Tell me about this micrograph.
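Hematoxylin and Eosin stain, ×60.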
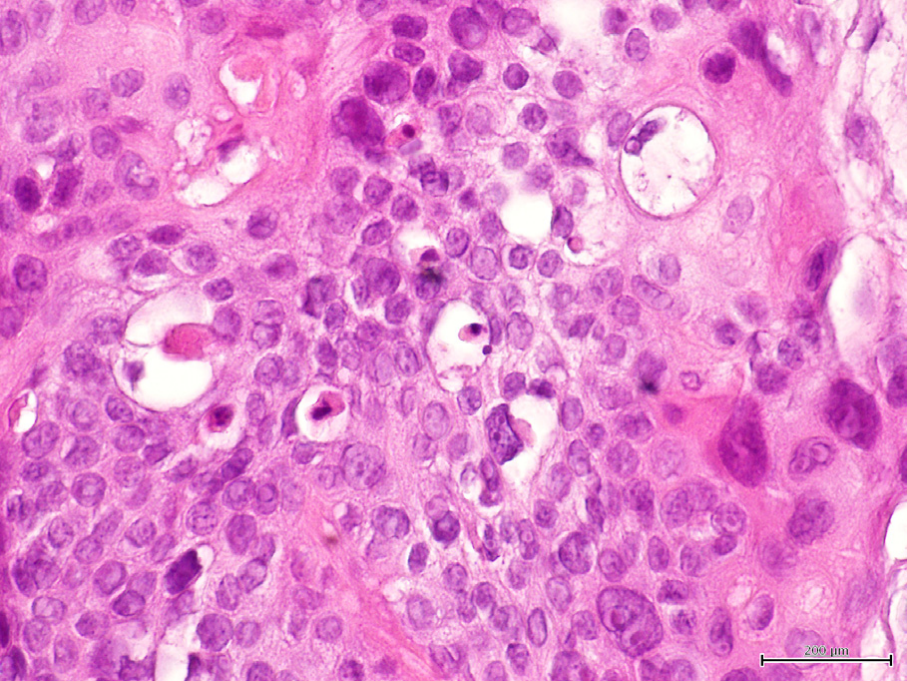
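These are epithelial tumor cells packed in crowded nests, with pink cytoplasm and poorly defined cell borders. Their nuclei are large, round to oval and vesicular, many with visible nucleoli, and they vary markedly in size, with scattered giant dark hyperchromatic nuclei showing clear atypia. Small clear spaces containing shrunken, deeply stained cell fragments are scattered among them.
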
